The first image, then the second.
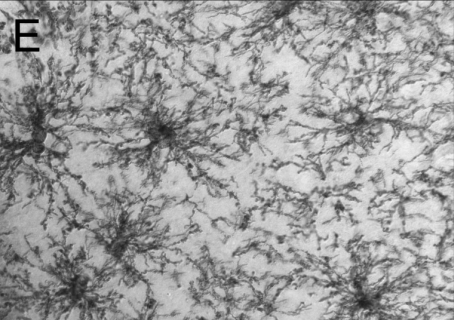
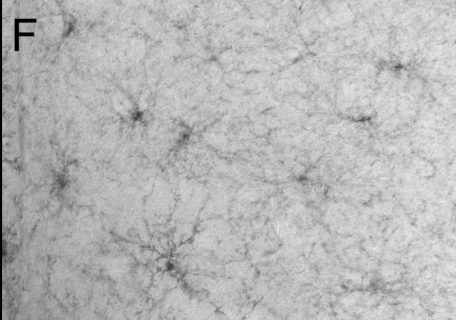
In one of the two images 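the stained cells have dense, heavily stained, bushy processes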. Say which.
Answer: The first image.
